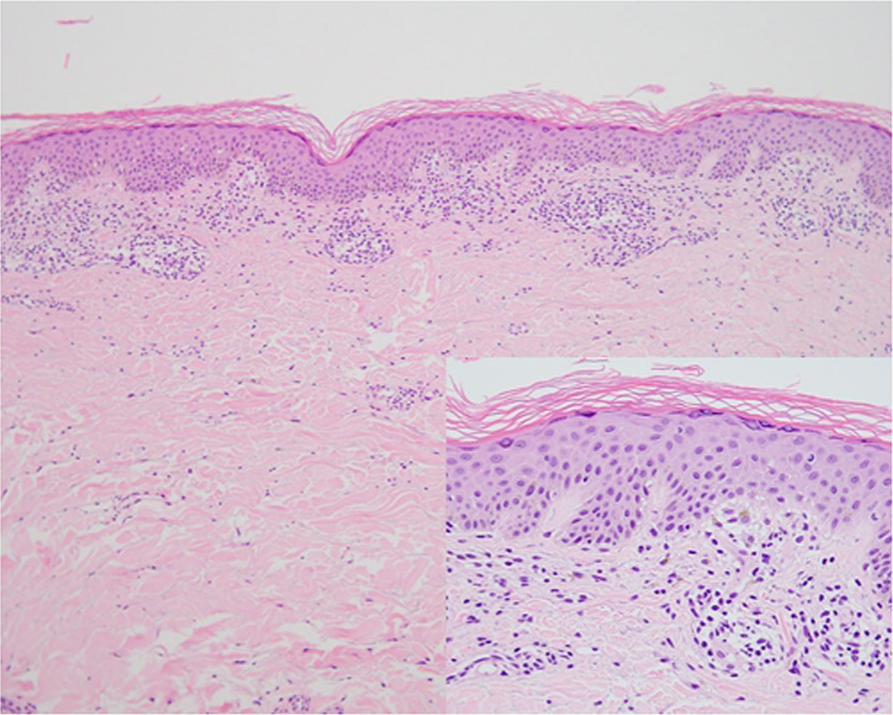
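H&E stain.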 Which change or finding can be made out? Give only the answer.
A: Superficial perivascular lymphocyte infiltration.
